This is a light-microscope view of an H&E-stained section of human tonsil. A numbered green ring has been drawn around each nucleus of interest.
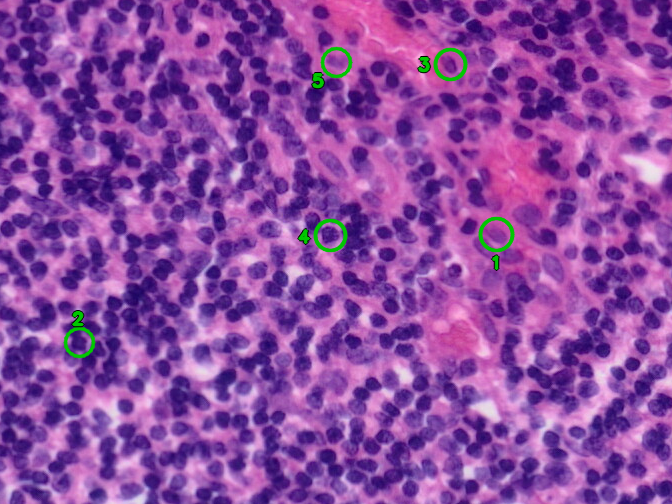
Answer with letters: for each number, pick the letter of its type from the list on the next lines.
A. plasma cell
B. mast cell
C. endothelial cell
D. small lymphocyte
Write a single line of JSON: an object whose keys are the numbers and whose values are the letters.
{"1": "C", "2": "D", "3": "C", "4": "D", "5": "C"}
